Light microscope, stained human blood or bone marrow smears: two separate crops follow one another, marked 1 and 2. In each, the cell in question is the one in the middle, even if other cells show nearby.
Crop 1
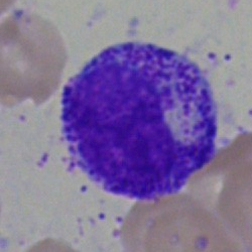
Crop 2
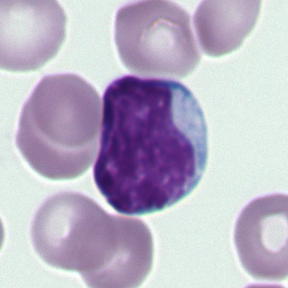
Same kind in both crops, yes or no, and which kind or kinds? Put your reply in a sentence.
No, the cell centred in crop 1 is a myelocyte, and that centred in crop 2 is a blast.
